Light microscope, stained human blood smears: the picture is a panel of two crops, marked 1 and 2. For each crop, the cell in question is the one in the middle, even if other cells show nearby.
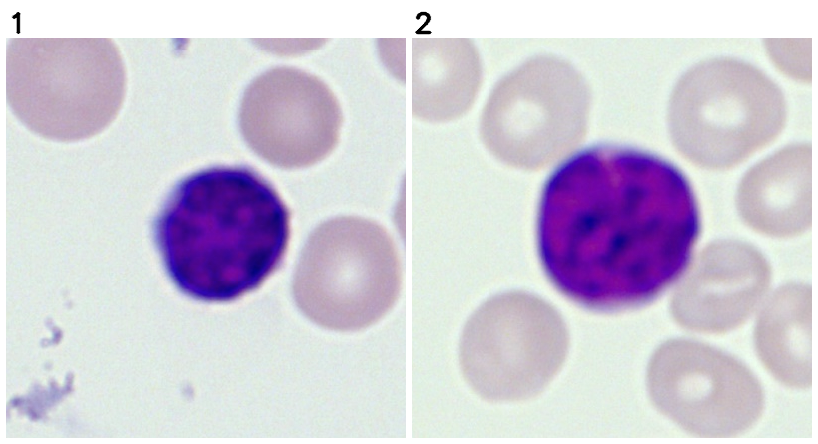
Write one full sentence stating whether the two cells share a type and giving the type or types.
No, crop 1 depicts a lymphocyte; crop 2 depicts a blast.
